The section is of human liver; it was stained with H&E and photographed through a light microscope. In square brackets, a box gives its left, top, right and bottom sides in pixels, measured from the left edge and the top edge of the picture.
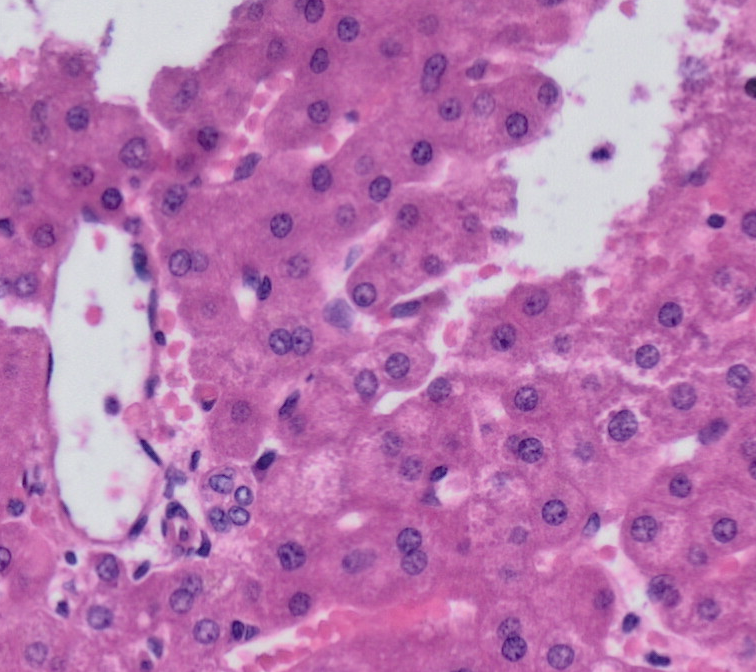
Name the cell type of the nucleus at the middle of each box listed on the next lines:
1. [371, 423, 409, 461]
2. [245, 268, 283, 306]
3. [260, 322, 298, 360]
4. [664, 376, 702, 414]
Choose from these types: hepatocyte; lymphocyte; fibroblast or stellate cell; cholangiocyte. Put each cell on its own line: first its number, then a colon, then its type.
1: hepatocyte
2: fibroblast or stellate cell
3: hepatocyte
4: hepatocyte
